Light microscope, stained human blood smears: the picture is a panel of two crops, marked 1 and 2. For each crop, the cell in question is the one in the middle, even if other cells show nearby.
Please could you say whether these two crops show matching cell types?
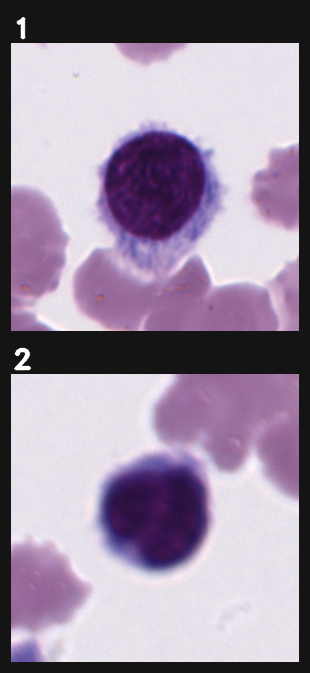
yes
